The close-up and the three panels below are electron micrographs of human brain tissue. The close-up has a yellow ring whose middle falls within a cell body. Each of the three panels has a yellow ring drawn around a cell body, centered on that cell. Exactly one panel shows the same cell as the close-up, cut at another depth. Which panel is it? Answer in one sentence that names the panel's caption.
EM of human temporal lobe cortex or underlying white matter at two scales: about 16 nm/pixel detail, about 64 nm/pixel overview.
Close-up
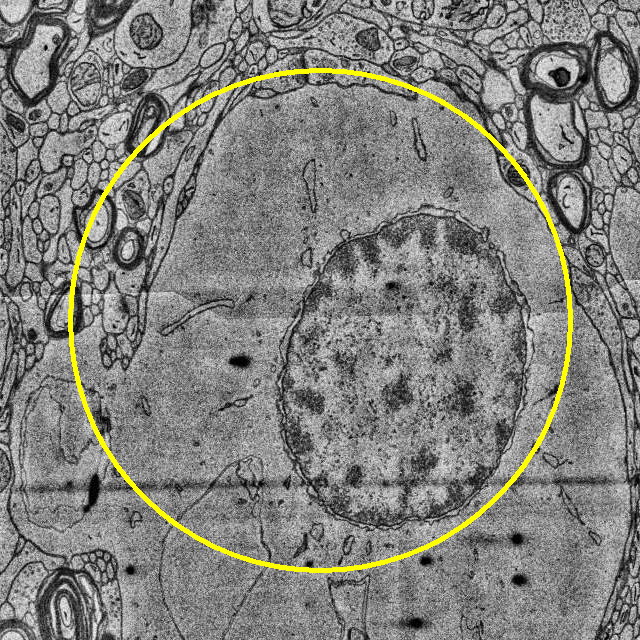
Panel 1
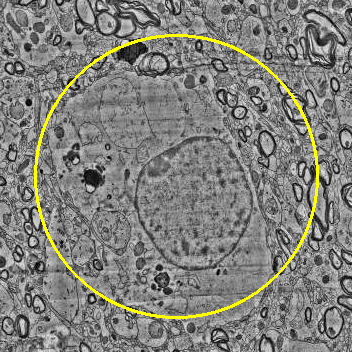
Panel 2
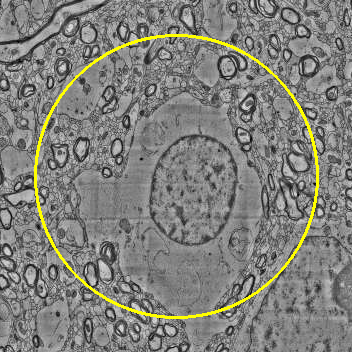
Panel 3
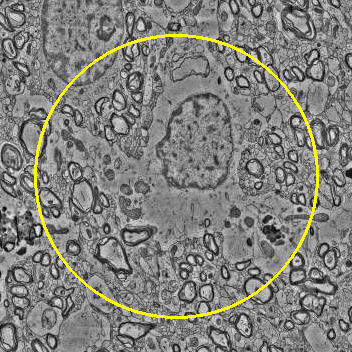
The same cell appears ringed in Panel 2 and enlarged in the close-up.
